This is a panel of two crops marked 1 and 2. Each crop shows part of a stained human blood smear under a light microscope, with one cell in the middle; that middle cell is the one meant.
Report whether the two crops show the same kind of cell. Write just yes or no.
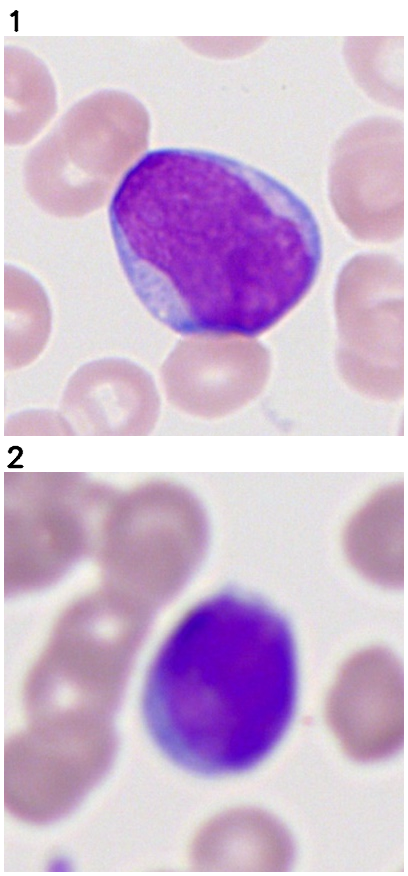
yes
